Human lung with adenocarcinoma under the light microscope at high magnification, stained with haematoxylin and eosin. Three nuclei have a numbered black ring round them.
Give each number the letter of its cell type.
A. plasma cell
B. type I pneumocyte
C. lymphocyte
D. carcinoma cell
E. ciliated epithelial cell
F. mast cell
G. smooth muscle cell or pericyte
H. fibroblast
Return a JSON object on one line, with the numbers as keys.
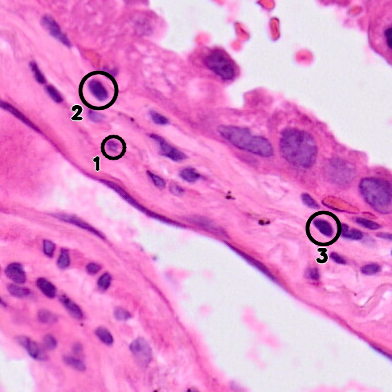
{"1": "G", "2": "C", "3": "C"}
